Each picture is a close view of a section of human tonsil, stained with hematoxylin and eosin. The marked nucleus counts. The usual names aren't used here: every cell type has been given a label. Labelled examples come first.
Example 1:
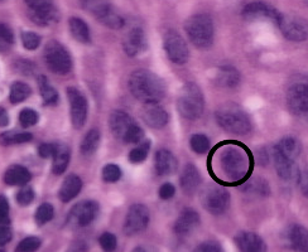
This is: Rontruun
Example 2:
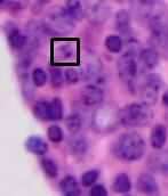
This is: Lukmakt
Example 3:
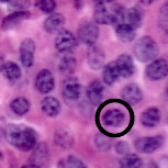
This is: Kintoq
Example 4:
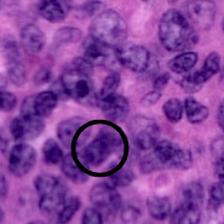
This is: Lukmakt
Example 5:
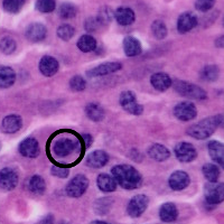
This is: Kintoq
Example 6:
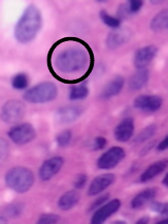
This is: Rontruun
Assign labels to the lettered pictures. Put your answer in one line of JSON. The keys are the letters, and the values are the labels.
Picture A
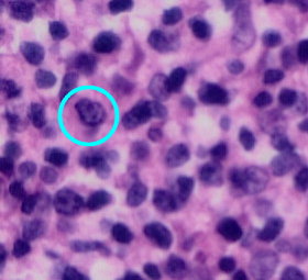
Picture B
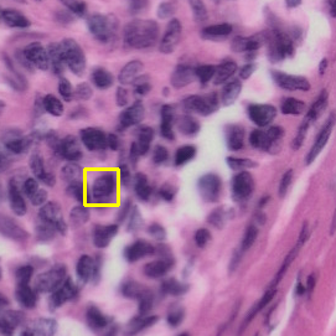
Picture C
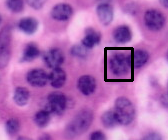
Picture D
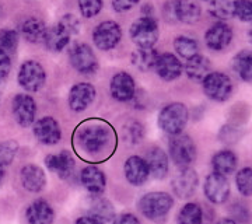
{"A": "Lukmakt", "B": "Lukmakt", "C": "Kintoq", "D": "Kintoq"}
